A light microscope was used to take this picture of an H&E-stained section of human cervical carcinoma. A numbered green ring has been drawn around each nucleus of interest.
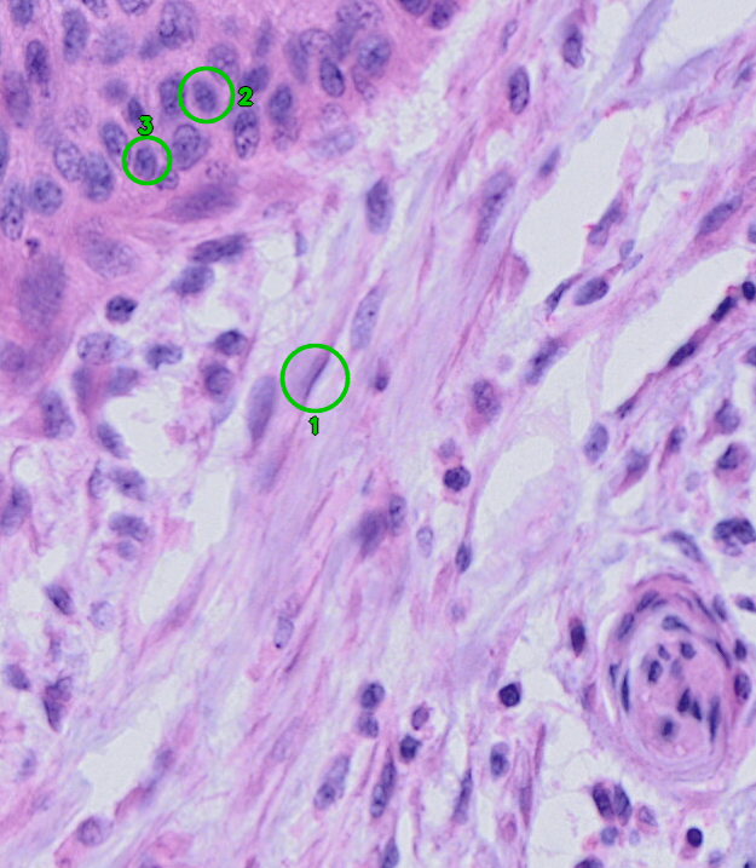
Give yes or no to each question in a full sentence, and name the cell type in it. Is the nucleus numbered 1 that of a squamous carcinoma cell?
No, the identification of cell 1 as a squamous carcinoma cell is incorrect; it is a fibroblast.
